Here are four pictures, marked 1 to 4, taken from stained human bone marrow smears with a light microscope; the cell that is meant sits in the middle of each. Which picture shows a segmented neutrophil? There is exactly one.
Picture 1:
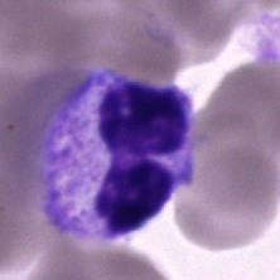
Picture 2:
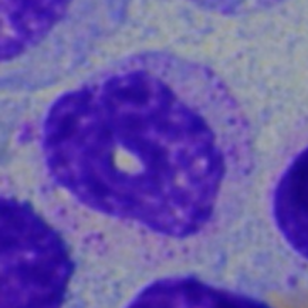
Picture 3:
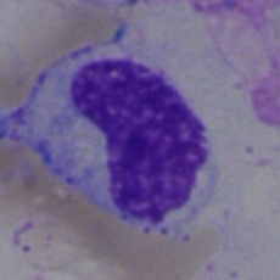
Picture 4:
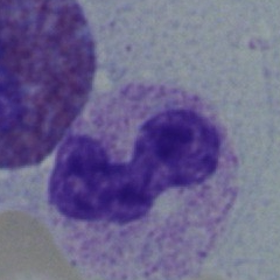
1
